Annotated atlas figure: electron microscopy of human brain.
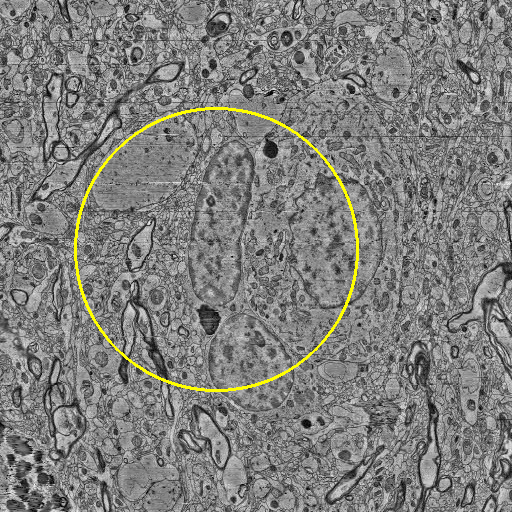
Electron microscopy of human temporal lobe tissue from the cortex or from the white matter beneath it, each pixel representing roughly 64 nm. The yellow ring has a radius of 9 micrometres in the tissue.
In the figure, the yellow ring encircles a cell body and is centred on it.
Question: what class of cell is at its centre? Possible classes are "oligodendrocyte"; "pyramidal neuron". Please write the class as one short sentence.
The yellow ring is drawn around an oligodendrocyte.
